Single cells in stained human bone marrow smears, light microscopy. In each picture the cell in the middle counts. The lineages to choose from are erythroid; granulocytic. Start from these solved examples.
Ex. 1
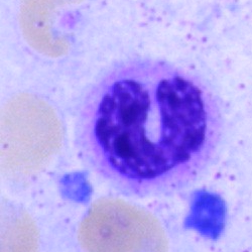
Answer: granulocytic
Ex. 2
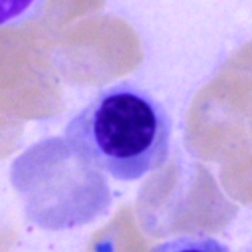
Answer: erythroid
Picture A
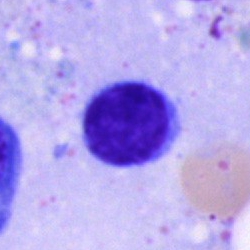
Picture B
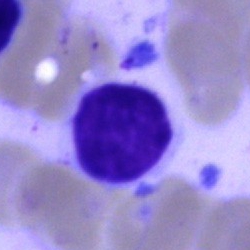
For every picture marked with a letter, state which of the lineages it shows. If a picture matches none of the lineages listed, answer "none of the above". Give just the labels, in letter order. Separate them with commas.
none of the above, none of the above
